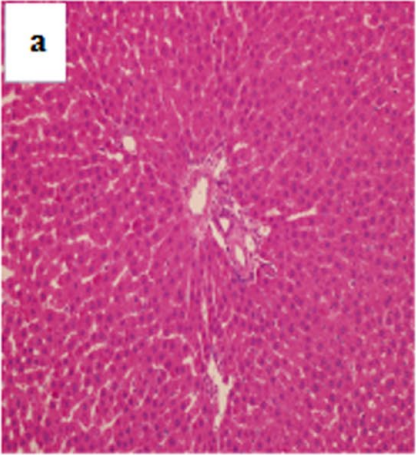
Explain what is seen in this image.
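This is liver tissue in pink, with plates of hepatocytes radiating evenly from a central vessel. The cells are polygonal with pink cytoplasm and round purple nuclei, and they line up in regular cords. Narrow clear sinusoids run between the cords toward the centre. Beside the central lumen lies a small cluster of vessels and ducts in thin connective tissue. There is no crowding of small dark cells and no pale, disrupted areas, so the architecture of the lobule looks orderly throughout the field.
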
